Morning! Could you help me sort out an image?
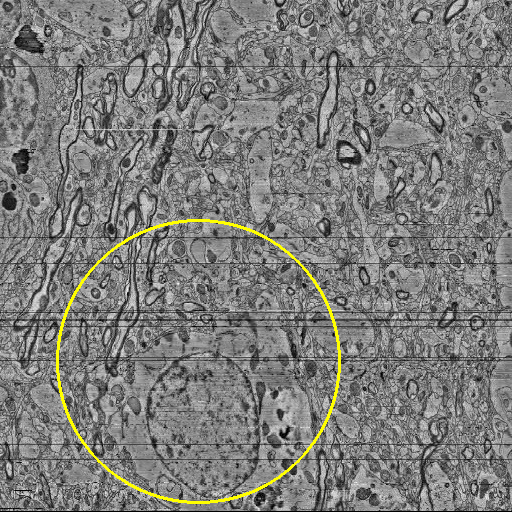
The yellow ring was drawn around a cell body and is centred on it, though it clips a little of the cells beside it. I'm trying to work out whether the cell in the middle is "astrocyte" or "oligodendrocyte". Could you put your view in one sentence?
The ringed cell body is that of an astrocyte.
